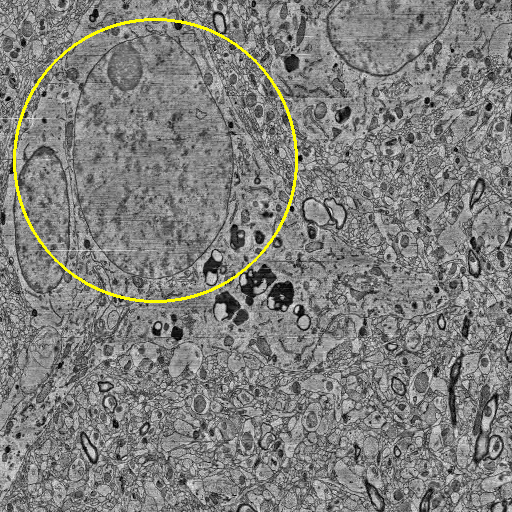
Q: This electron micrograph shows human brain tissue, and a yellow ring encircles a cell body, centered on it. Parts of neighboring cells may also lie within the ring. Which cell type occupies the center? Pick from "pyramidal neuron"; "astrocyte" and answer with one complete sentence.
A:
What sits at the ring's center in this micrograph is a pyramidal neuron, among those choices.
